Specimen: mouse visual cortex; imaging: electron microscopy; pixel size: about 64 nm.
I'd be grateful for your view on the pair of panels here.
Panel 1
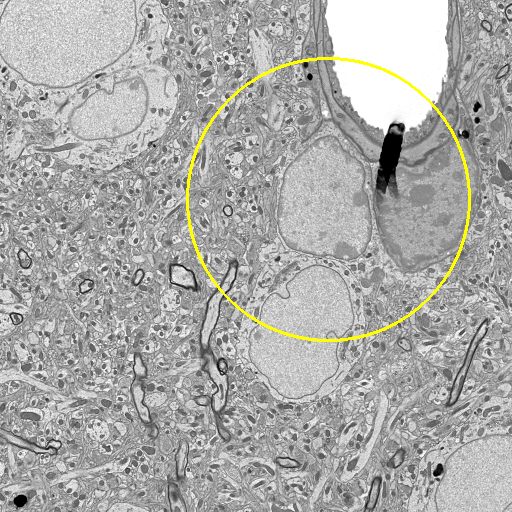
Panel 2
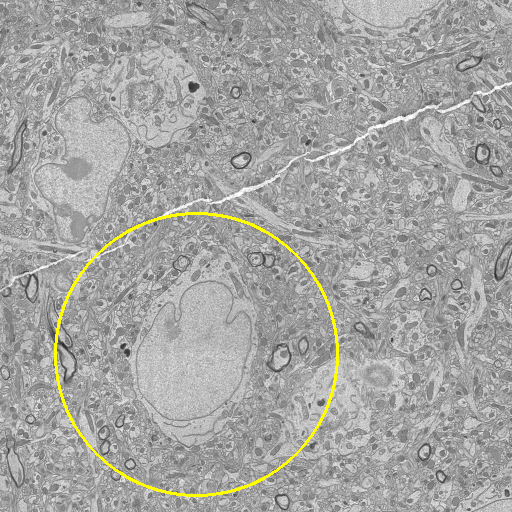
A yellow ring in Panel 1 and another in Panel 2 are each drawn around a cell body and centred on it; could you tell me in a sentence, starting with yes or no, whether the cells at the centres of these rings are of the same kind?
No, they are two kinds of cell.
